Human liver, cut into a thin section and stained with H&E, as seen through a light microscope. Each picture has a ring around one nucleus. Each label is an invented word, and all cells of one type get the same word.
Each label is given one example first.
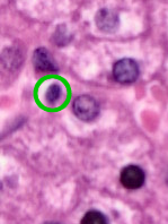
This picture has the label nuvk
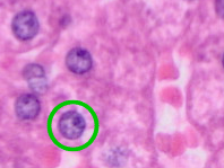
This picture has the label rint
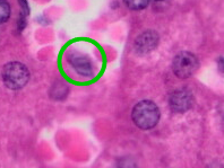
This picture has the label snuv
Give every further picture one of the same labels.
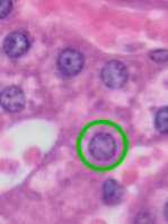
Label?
rint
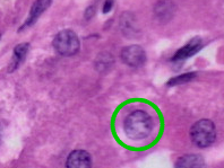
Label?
rint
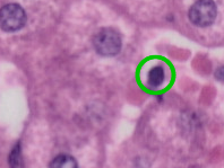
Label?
nuvk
